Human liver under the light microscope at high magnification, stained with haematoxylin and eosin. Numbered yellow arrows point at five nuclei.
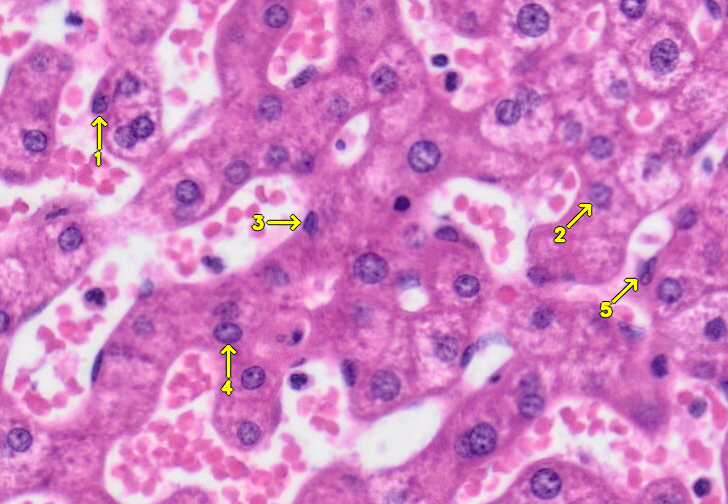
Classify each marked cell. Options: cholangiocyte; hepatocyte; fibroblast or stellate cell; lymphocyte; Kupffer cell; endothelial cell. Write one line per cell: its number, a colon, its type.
1: Kupffer cell
2: hepatocyte
3: fibroblast or stellate cell
4: hepatocyte
5: Kupffer cell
